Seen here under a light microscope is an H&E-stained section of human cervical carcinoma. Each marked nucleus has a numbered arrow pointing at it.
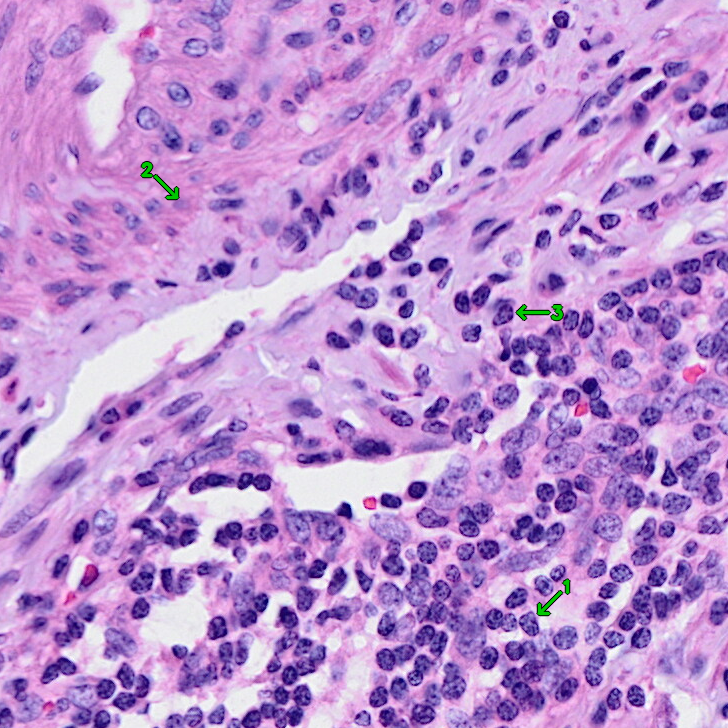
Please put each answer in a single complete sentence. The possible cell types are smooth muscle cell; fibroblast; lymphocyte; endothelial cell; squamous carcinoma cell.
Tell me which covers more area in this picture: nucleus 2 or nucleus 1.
Number 1 is larger; its area is about 2.5 times that of number 2.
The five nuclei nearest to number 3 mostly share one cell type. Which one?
Lymphocytes make up most of the five nuclei closest to number 3.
